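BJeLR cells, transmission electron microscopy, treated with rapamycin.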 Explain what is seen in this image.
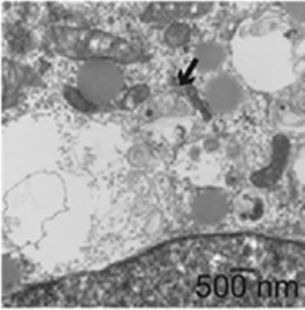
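This is a close view of the cytoplasm of a cultured cell, with the edge of the nucleus along the bottom. The cytoplasm holds large pale vacuoles, several dense gray round bodies and a few mitochondria with cristae, and an arrow marks a small membrane-bound vesicle among them.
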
